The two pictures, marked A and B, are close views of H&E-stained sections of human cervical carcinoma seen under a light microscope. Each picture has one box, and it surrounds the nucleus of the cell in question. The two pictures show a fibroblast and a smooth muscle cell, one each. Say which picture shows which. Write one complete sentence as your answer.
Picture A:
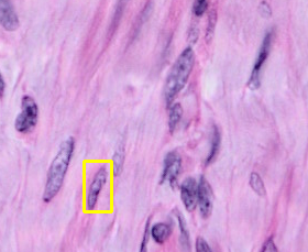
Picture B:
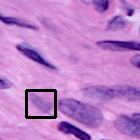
The cell in picture A is a smooth muscle cell, and the one in picture B is a fibroblast.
